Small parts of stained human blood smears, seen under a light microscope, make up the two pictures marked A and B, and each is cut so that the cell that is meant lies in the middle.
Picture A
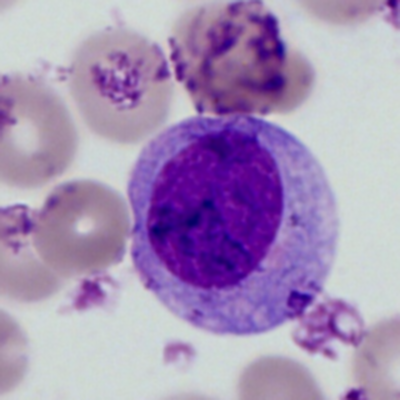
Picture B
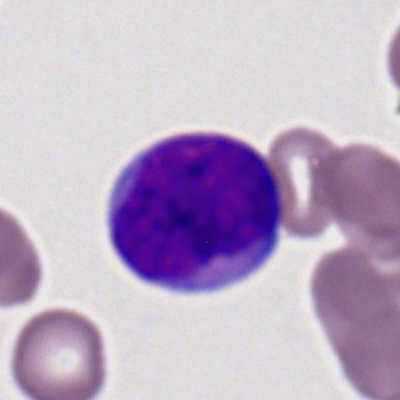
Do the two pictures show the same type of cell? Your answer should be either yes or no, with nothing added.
yes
